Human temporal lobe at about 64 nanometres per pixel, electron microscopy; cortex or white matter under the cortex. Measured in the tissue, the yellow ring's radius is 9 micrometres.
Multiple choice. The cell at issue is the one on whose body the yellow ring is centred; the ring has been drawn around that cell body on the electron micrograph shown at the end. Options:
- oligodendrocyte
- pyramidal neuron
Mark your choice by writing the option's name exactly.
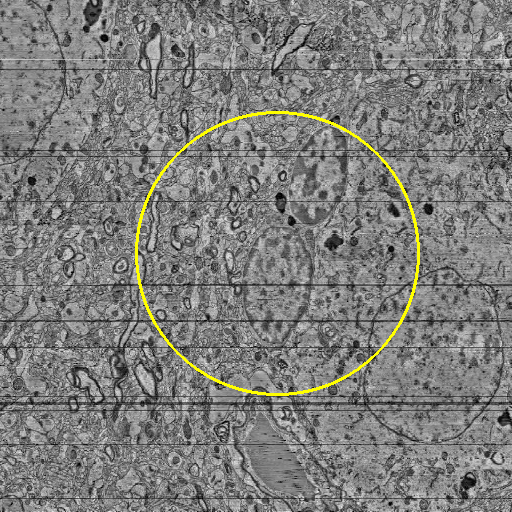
oligodendrocyte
